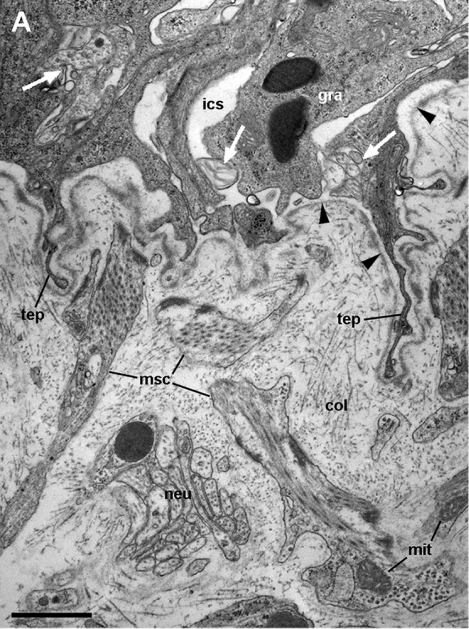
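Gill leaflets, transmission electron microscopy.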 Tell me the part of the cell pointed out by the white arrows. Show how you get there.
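The white arrows point to small membrane-bound profiles lying within the dark epithelial layer at the top. The profiles are pale compared with the surrounding epithelial cytoplasm. The answer: intraepithelial neurites.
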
